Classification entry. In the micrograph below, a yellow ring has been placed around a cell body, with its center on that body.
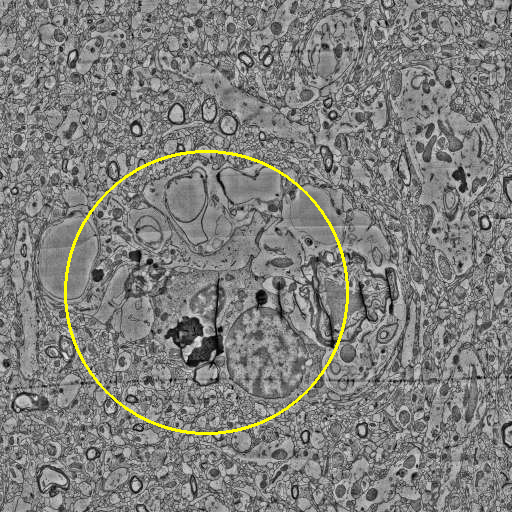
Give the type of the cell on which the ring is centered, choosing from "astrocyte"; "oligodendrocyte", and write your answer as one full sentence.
The cell body at the center of the yellow ring belongs to an oligodendrocyte.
